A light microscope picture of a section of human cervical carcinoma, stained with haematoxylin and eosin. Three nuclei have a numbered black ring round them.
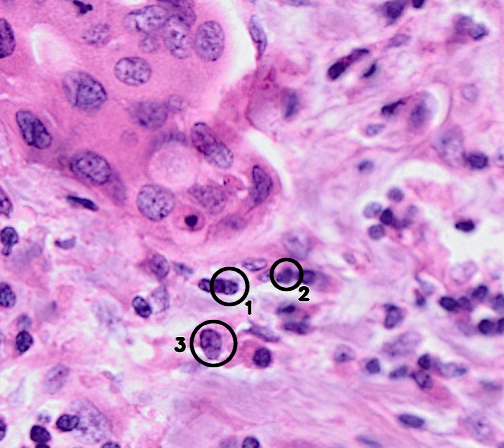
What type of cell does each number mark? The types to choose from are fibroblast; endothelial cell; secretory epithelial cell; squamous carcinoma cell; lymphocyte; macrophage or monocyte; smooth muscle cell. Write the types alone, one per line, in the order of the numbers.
lymphocyte
lymphocyte
macrophage or monocyte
